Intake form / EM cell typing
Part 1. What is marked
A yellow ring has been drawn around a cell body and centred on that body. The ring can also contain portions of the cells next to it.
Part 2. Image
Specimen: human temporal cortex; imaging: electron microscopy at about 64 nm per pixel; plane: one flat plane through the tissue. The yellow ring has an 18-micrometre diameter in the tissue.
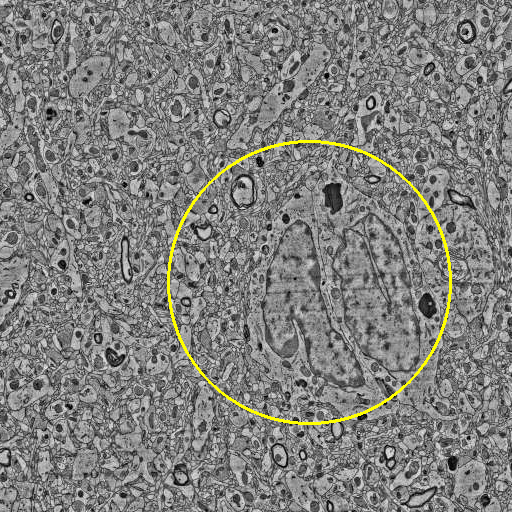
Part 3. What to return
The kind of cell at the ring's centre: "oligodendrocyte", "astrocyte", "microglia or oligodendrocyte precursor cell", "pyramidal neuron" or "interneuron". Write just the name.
microglia or oligodendrocyte precursor cell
